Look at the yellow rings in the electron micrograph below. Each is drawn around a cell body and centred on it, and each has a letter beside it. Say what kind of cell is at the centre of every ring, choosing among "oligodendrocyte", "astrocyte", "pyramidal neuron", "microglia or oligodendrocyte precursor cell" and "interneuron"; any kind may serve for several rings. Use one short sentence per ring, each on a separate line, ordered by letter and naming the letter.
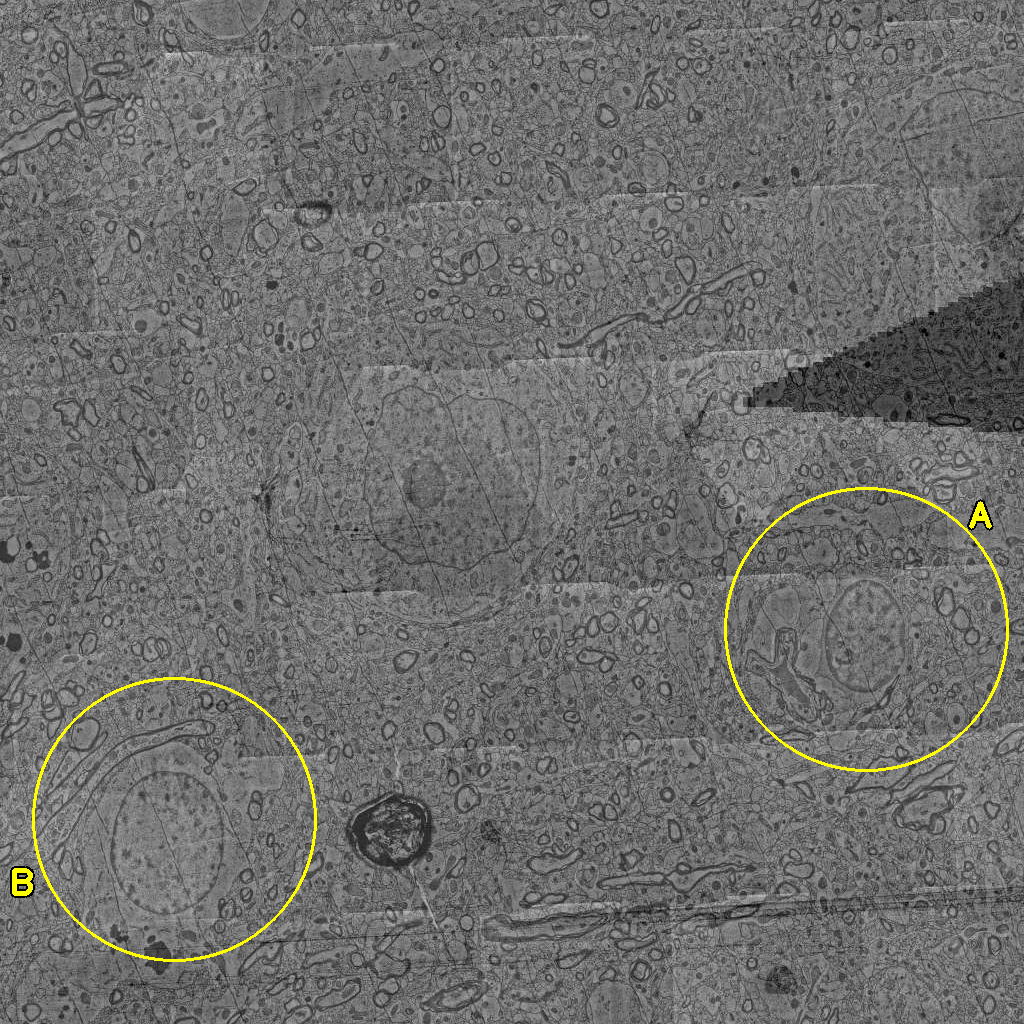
Ring A encircles an oligodendrocyte.
Ring B encircles an astrocyte.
